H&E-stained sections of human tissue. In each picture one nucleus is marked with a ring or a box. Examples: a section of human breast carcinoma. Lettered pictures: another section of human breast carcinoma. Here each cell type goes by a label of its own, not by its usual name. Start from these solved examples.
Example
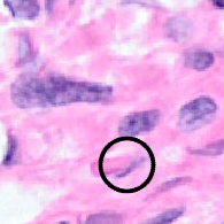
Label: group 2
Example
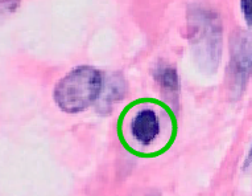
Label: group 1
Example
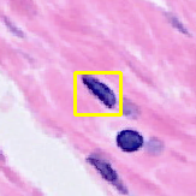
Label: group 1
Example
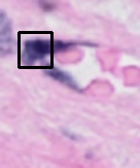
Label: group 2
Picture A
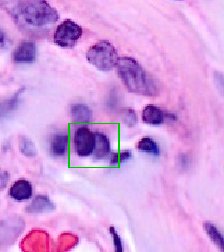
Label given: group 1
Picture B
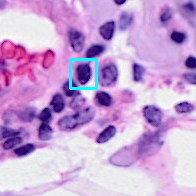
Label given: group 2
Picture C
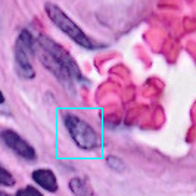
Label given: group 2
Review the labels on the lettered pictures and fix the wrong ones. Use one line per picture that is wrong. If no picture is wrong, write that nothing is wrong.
B should be group 1, not group 2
